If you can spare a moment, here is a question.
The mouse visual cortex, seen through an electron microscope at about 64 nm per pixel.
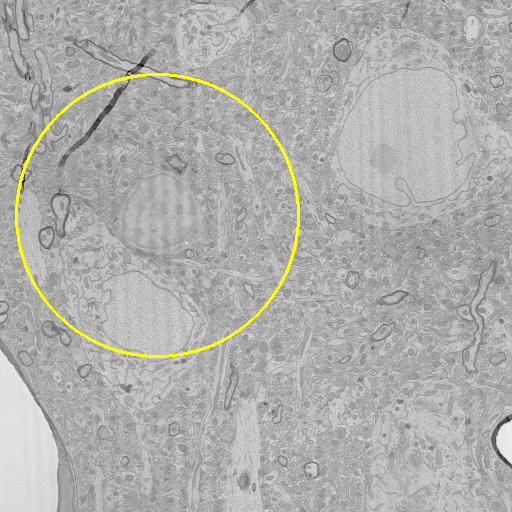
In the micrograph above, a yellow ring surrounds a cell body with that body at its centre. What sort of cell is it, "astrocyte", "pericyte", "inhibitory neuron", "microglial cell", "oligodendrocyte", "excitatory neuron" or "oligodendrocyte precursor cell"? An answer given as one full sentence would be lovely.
Centred inside the yellow ring, the cell body shown belongs to an oligodendrocyte in this micrograph.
